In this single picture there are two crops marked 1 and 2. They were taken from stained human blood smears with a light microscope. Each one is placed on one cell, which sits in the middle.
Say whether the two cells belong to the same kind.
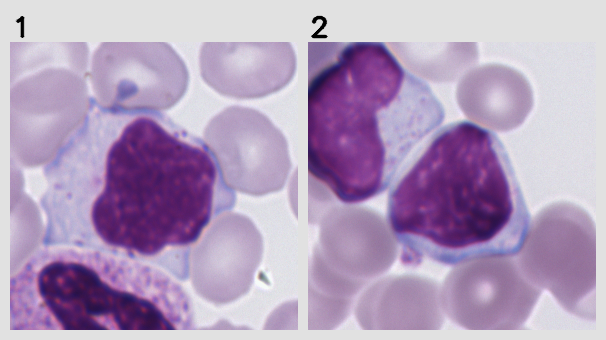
yes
